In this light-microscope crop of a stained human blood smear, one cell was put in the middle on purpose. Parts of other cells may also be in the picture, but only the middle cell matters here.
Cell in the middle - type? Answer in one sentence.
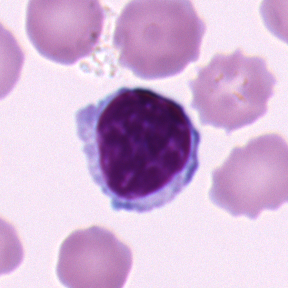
In the center of this field lies a lymphocyte.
